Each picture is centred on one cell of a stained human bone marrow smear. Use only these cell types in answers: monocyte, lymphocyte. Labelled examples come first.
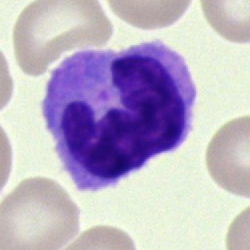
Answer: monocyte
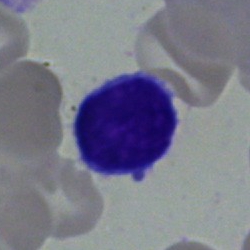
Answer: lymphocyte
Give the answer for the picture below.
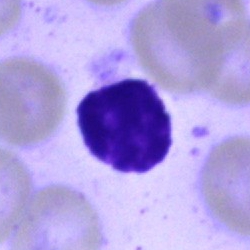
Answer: lymphocyte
